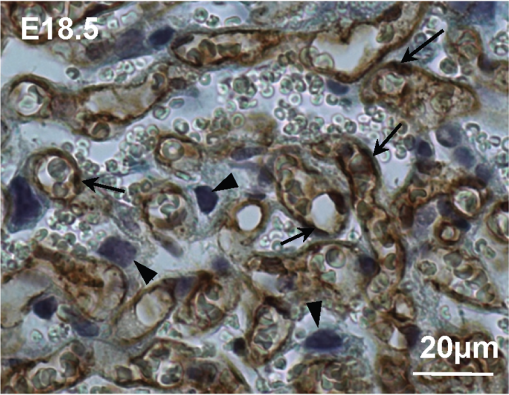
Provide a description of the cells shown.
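The trophoblast cells between the channels carry large, dark blue-purple nuclei and take up no brown stain. Together, the brown-lined channels and the intervening trophoblast form a tightly interwoven pattern.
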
